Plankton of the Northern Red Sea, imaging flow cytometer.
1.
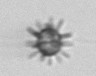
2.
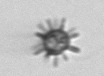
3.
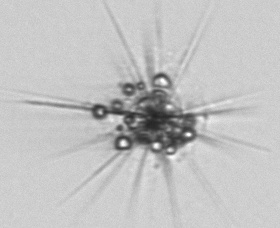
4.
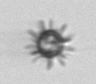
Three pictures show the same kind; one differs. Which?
Picture 3: a radiolarian, while the others are Rhabdosphaera.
